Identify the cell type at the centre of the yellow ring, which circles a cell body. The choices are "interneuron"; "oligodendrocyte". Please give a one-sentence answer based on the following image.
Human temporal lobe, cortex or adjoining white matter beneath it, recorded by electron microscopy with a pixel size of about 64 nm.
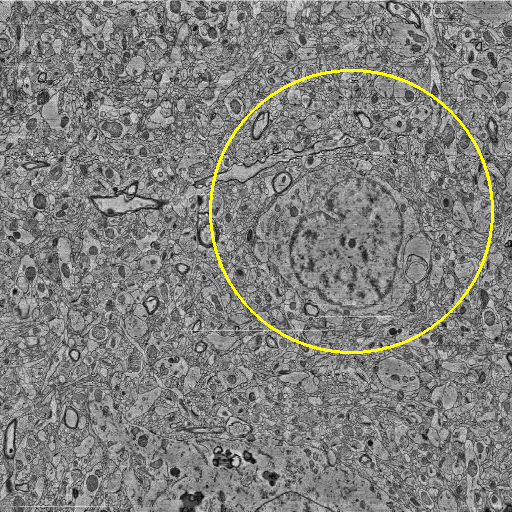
The cell marked by the ring is an interneuron.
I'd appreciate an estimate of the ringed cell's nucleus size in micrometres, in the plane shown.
In this plane the nucleus spans approximately 9 by 7 micrometers.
